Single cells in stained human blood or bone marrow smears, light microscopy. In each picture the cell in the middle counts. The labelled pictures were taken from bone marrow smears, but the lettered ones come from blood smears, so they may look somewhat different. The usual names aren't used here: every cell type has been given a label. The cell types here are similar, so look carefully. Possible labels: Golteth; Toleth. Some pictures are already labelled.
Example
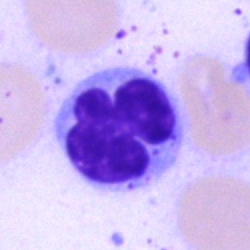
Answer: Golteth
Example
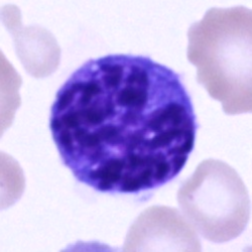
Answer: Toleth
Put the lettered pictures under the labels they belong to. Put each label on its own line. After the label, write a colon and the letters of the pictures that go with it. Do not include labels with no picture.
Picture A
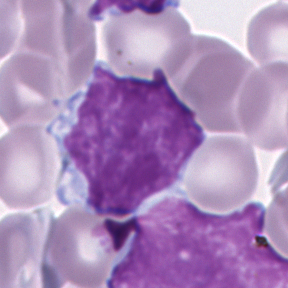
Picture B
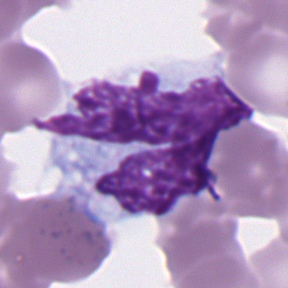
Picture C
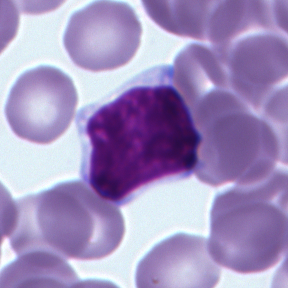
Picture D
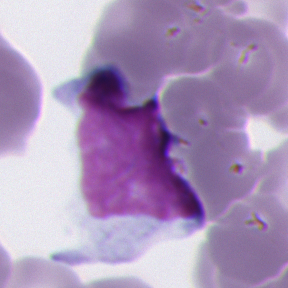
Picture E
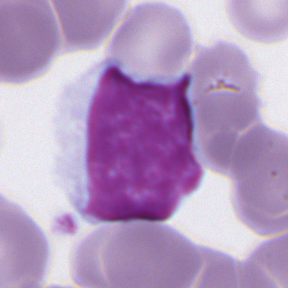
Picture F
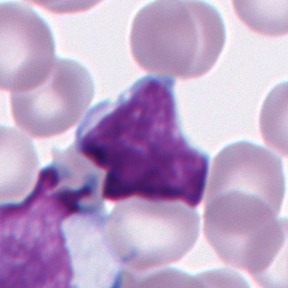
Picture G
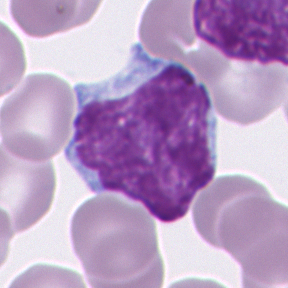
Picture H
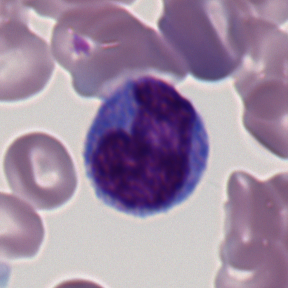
Golteth: A, C, D, E, F, G
Toleth: B, H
